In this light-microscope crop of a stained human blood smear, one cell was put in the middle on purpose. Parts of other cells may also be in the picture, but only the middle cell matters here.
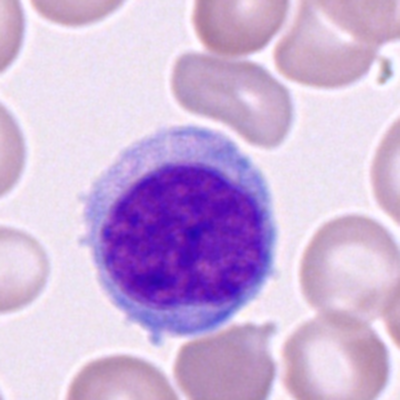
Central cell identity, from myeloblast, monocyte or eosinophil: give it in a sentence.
The center cell of this crop is a monocyte.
